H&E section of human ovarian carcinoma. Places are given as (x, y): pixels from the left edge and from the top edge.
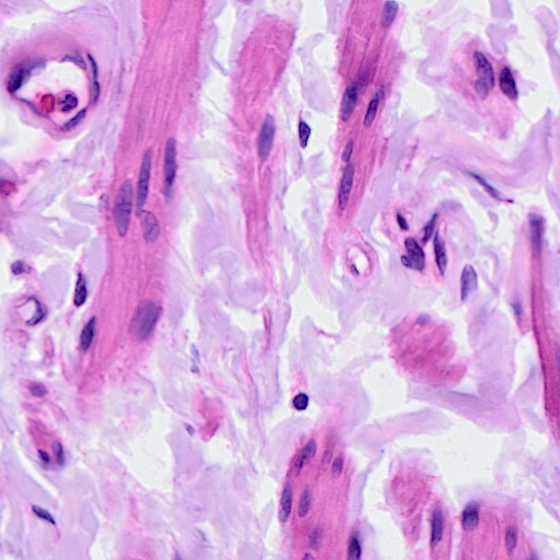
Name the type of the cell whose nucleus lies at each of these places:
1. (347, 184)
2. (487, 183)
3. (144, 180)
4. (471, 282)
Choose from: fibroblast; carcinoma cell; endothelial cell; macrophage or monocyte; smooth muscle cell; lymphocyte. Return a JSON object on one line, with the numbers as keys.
{"1": "smooth muscle cell", "2": "fibroblast", "3": "smooth muscle cell", "4": "fibroblast"}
